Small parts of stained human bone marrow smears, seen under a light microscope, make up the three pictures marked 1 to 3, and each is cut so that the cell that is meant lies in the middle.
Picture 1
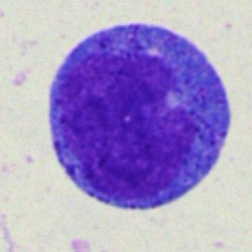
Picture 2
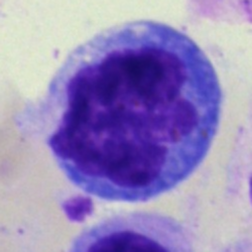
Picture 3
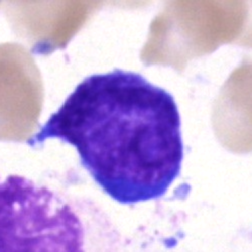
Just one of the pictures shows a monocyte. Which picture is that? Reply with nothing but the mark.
2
